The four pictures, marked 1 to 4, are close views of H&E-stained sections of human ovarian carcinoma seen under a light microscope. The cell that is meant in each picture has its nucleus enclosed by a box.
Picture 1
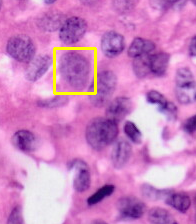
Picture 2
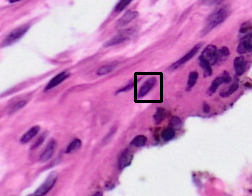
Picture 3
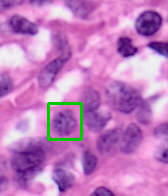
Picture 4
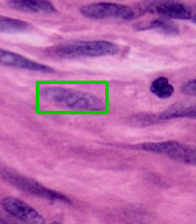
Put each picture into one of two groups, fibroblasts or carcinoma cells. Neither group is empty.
1: carcinoma cell
2: fibroblast
3: carcinoma cell
4: fibroblast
